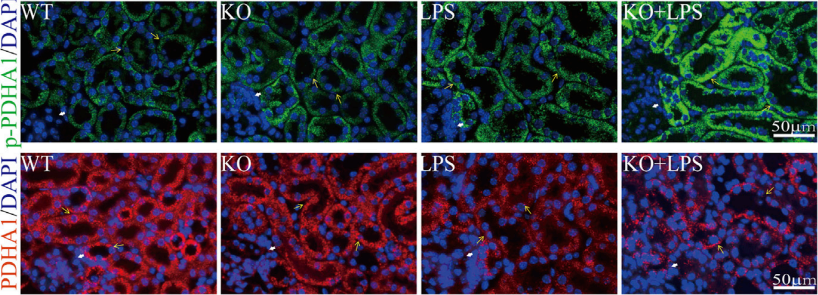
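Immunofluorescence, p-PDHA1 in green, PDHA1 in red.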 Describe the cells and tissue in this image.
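These are sections of kidney cortex, dominated by renal tubules cut in cross-section, with a few glomeruli between them. Each tubule appears as a ring of epithelial cells around a dark lumen, and the stain lies in the cytoplasm of these cells, green in the upper row and red in the lower row. The blue nuclei sit within the tubule walls, one layer thick. Glomeruli show as rounded clusters of densely crowded blue nuclei with only faint stain. In some frames the tubular stain is brighter and more diffuse, while in others it is thinner and more patchy.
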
